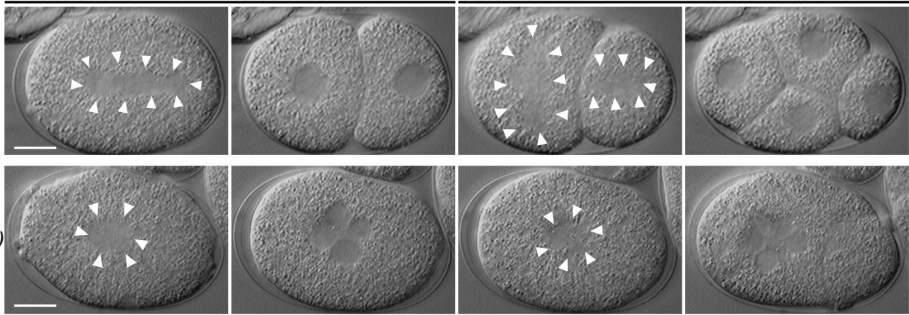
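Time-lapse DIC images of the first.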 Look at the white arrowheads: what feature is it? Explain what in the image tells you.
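White arrowheads surround a clear, granule-free zone in the middle of the dividing cells. In the top row the outlined clear zone is elongated between two ends; in the bottom row it is round.
Mitotic spindle.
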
